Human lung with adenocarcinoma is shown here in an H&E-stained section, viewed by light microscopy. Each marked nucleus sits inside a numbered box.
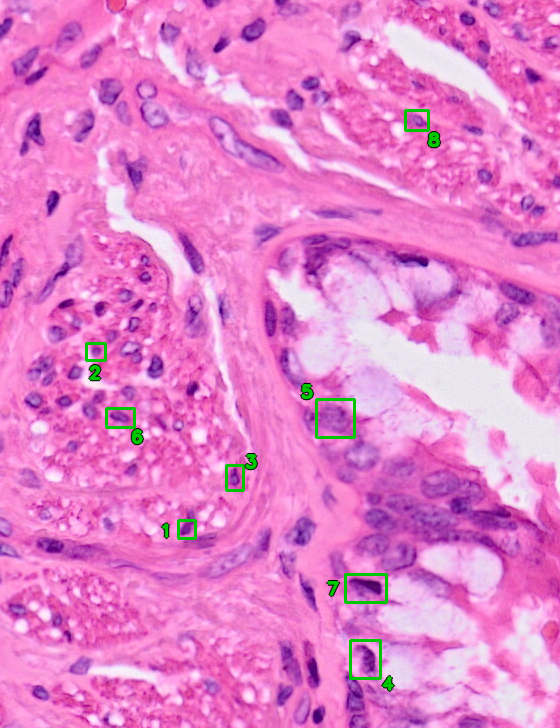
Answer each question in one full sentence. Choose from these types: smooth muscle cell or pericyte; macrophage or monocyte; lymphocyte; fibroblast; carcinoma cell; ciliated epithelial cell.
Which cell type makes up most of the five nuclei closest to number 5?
Ciliated epithelial cells account for more than half of the five nuclei nearest to number 5.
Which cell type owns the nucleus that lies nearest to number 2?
The nearest nucleus to number 2 belongs to a smooth muscle cell or pericyte.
